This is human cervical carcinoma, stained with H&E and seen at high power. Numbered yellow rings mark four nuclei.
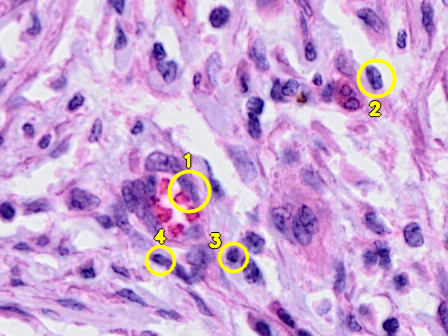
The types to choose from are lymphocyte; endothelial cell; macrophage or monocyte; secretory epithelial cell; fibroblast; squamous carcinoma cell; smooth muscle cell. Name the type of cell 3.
lymphocyte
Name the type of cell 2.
lymphocyte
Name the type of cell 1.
endothelial cell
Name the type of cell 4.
lymphocyte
